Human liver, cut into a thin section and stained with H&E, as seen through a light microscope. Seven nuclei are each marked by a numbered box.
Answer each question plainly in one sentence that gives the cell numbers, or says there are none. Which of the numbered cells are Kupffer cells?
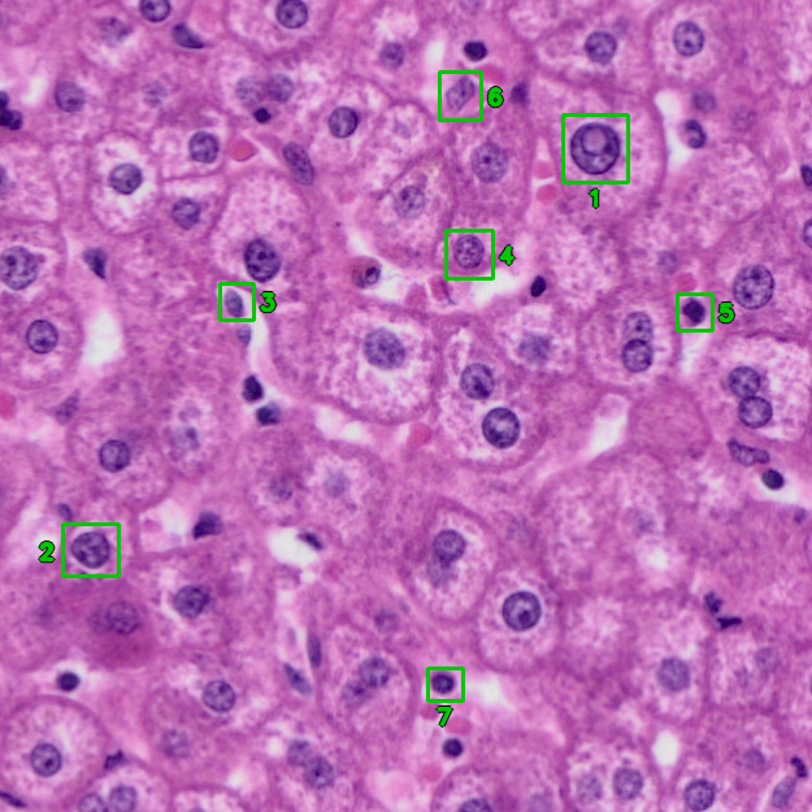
Of the cells bearing numbers, the only one that is a Kupffer cell is cell 6.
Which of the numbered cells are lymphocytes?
Cells 3, 5 and 7 share one type; they are lymphocytes.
